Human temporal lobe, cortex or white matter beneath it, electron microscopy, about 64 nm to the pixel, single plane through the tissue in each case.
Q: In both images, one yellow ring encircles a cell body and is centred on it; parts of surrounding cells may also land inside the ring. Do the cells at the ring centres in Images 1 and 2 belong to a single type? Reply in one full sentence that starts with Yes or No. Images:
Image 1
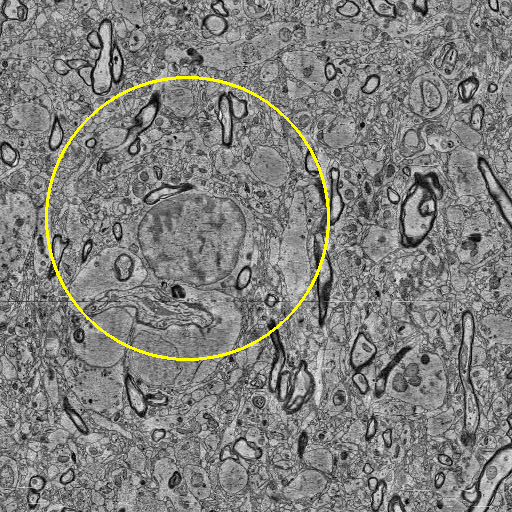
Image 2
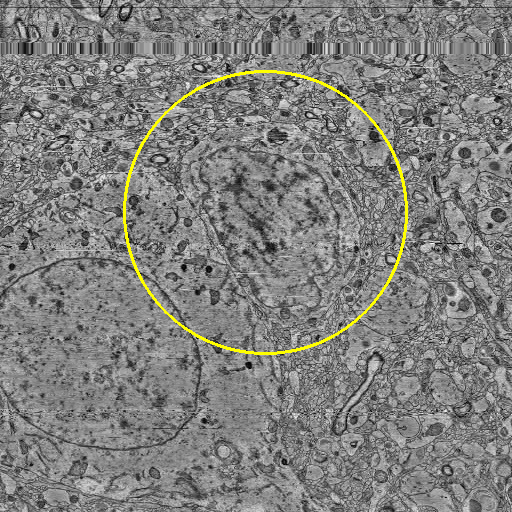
No, the cells at the ring centres in Images 1 and 2 are of two types.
